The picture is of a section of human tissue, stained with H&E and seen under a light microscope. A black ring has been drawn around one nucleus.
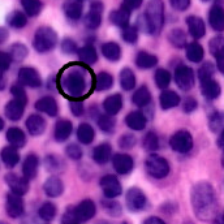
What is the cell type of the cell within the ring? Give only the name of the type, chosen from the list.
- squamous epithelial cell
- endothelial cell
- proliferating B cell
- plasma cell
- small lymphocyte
small lymphocyte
